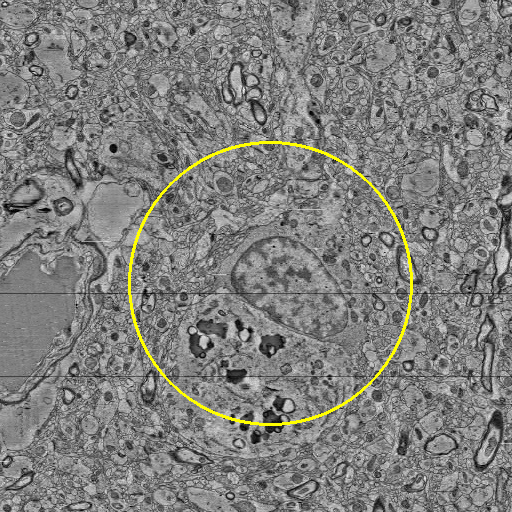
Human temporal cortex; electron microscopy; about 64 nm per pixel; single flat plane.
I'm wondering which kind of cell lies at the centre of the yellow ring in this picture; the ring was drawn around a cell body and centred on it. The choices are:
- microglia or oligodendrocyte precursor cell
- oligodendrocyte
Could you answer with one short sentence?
At the centre of the ring lies an oligodendrocyte.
